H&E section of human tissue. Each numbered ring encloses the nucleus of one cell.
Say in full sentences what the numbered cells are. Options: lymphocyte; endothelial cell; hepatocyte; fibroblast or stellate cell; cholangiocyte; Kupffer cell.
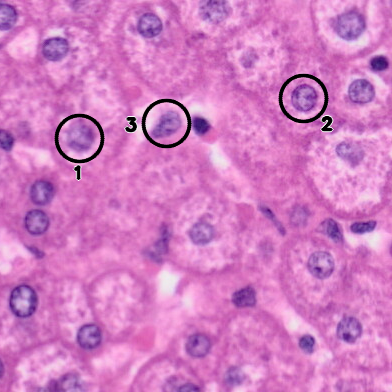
Cell 1 is a hepatocyte, cell 2 is a hepatocyte and cell 3 is a Kupffer cell.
